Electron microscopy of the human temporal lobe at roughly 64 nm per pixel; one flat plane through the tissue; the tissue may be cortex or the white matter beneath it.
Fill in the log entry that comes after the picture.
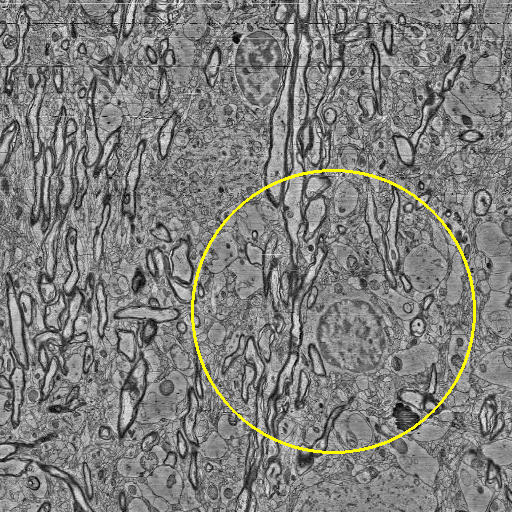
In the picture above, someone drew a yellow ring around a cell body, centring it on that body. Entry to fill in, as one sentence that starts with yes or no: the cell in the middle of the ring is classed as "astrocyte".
No, the cell in the ring's centre in this image is of a different kind.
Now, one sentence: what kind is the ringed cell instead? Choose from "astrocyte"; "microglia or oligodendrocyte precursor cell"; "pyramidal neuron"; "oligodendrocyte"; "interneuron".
The cell marked by the ring is an oligodendrocyte.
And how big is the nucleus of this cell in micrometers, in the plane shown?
The nucleus measures about 5 by 4 micrometres in this plane.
